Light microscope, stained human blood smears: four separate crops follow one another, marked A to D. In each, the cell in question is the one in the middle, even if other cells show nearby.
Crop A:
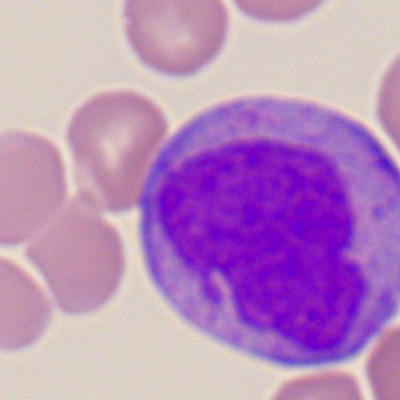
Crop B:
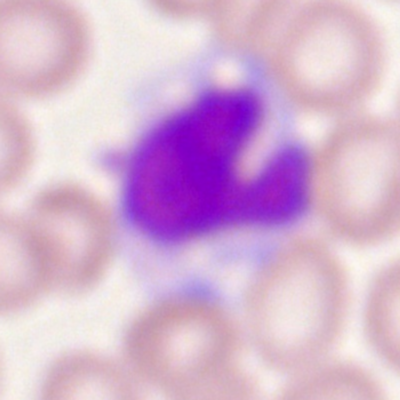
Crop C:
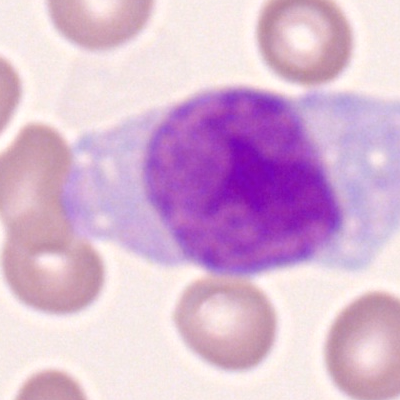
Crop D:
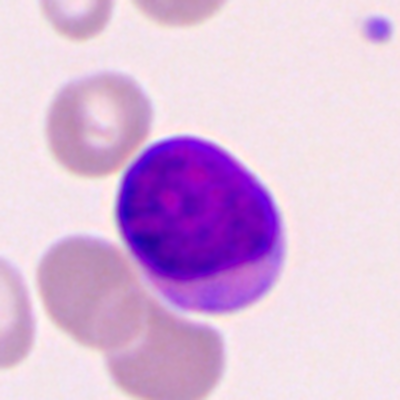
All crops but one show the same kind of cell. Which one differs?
D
